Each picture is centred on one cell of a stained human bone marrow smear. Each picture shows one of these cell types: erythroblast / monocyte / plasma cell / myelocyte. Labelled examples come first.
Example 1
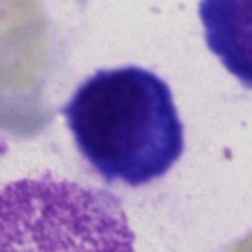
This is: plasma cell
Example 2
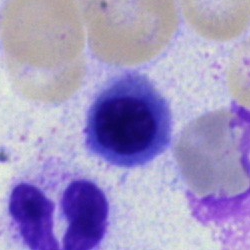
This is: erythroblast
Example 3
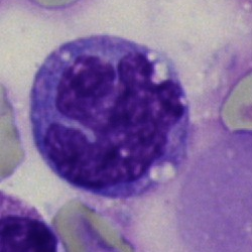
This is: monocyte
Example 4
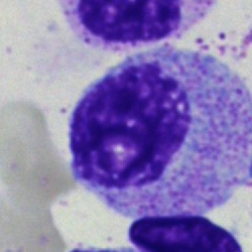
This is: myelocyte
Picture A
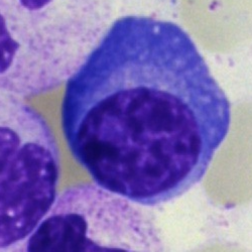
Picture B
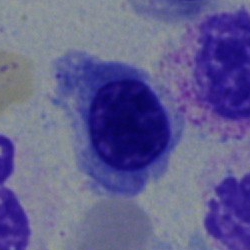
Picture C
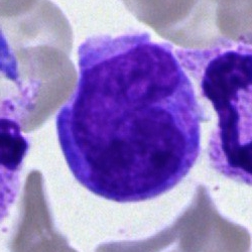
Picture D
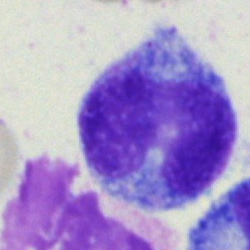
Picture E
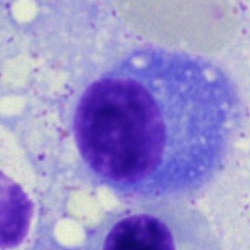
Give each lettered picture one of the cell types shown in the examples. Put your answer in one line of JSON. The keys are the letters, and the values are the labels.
{"A": "plasma cell", "B": "erythroblast", "C": "monocyte", "D": "monocyte", "E": "plasma cell"}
